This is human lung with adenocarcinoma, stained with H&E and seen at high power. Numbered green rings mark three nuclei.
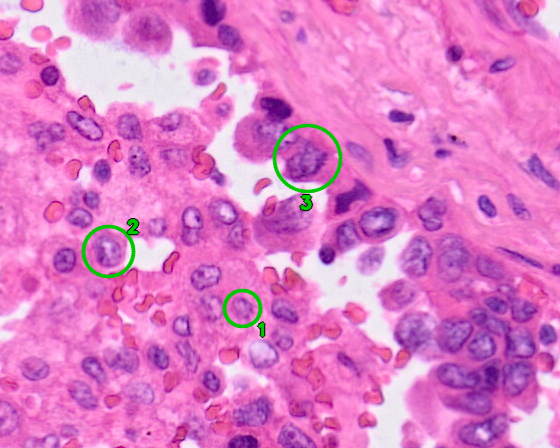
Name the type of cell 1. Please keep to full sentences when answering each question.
In the marked set, the cell given number 1 is a macrophage or monocyte.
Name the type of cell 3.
Cell number 3 in this section is a carcinoma cell.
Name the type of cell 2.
The identity of cell 2 is that of a macrophage or monocyte.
